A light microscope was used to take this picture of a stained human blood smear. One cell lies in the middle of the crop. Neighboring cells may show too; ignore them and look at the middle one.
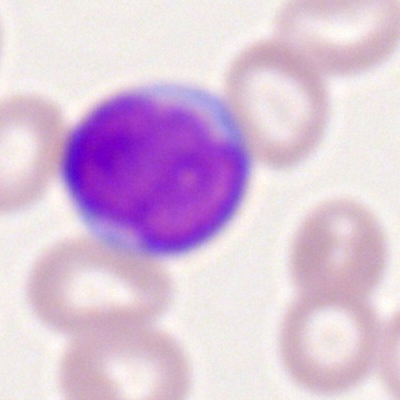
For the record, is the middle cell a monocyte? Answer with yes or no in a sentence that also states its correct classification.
No, the cell in the centre of the crop is a myeloblast as opposed to a monocyte.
